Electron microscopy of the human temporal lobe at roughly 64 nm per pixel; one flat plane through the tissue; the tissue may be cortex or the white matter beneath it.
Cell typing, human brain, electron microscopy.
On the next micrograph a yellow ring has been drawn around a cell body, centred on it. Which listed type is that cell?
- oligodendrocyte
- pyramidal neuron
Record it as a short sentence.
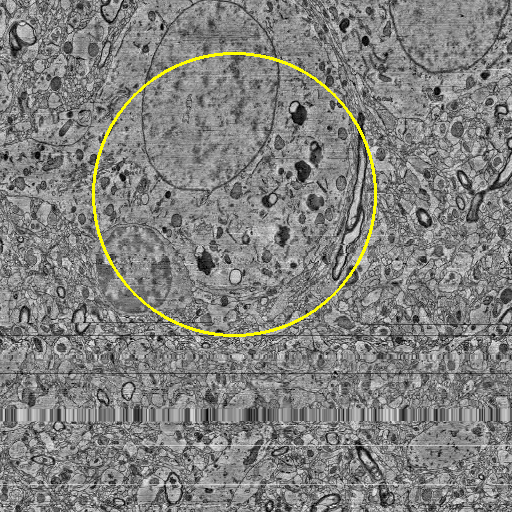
The cell body in the ring's centre belongs to a pyramidal neuron.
